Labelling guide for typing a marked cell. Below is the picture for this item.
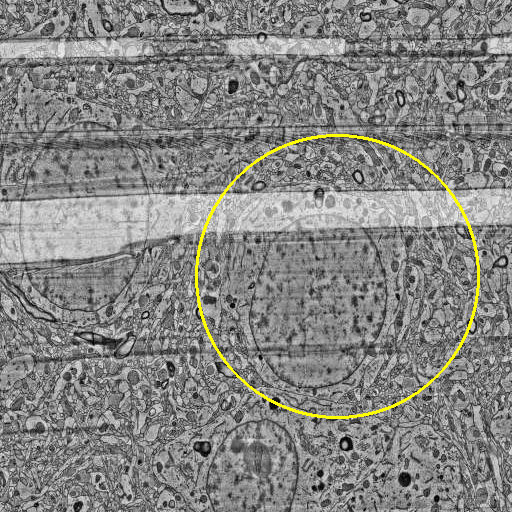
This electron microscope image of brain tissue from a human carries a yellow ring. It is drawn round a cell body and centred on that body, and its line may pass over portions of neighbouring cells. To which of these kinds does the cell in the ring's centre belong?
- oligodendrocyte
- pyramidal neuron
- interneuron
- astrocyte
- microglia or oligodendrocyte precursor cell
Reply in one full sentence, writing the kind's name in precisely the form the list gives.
Here we have a pyramidal neuron at the centre of the yellow ring in the picture.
